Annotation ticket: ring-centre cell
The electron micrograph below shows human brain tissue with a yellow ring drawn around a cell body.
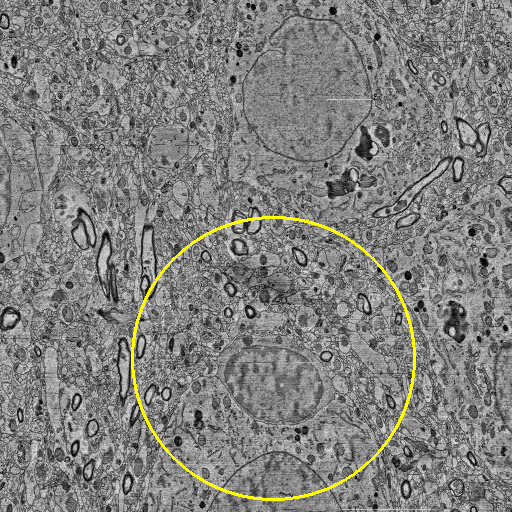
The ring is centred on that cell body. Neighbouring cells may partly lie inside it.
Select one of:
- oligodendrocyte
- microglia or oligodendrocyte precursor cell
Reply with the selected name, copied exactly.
oligodendrocyte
